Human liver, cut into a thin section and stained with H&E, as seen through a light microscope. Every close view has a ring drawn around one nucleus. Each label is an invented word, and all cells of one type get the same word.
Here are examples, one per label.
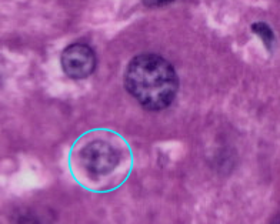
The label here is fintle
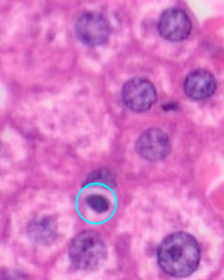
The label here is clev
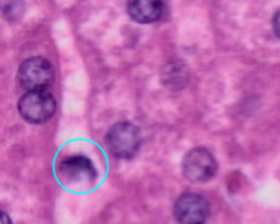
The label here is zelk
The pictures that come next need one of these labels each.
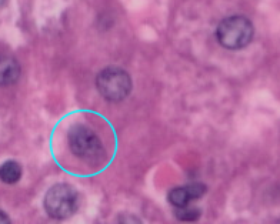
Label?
zelk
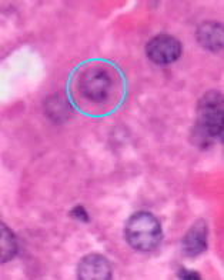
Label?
fintle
